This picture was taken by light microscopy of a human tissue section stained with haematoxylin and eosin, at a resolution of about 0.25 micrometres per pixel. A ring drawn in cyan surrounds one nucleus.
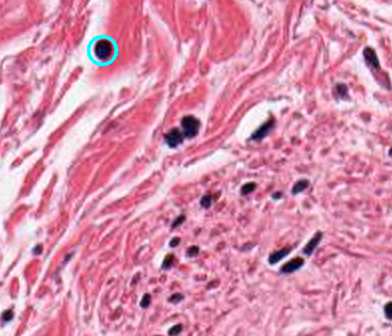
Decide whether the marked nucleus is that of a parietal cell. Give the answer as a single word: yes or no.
no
